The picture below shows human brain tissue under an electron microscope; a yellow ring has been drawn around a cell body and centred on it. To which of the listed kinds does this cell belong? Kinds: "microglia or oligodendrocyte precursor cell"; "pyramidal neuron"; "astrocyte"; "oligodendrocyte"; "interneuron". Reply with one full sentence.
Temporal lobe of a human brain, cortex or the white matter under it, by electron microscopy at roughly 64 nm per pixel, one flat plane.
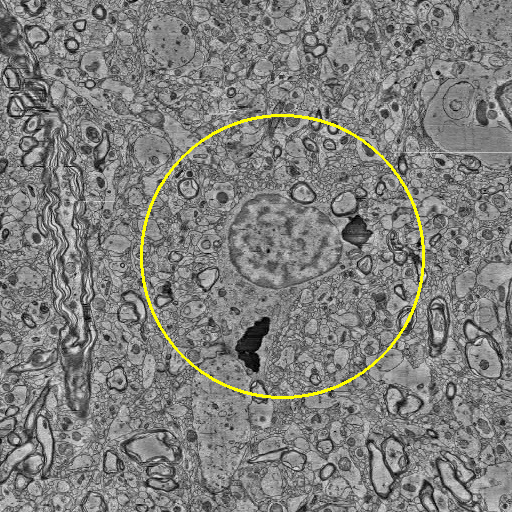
It is an oligodendrocyte that the yellow ring in the picture is centred on.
